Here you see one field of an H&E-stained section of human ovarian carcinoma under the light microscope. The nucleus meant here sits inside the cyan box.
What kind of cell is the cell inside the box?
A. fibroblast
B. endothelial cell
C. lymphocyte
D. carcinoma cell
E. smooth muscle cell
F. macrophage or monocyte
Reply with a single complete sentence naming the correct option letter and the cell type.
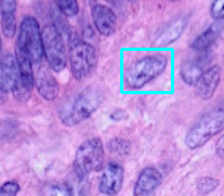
According to option A, the cell inside the box is a fibroblast, and this is correct.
